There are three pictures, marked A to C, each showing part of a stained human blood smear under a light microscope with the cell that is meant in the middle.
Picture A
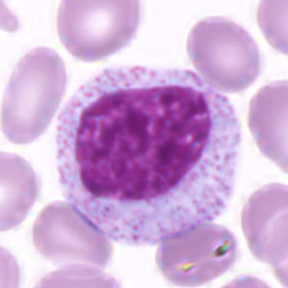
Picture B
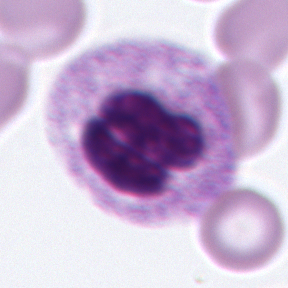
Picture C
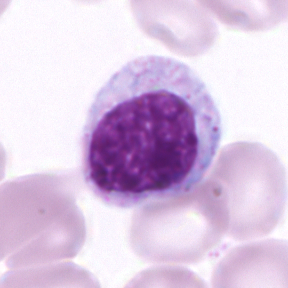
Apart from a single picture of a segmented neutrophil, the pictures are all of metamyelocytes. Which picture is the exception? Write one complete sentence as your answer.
Picture B is the one that shows the segmented neutrophil.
